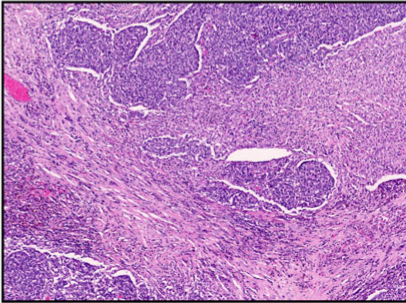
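This is a densely cellular tumour made up of sheets and nests of tightly packed small cells with dark purple nuclei and scant cytoplasm. Some nests are separated from the surrounding tissue by thin clear clefts, and a band of paler, more fibrous tissue with spindle-shaped cells runs between them.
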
